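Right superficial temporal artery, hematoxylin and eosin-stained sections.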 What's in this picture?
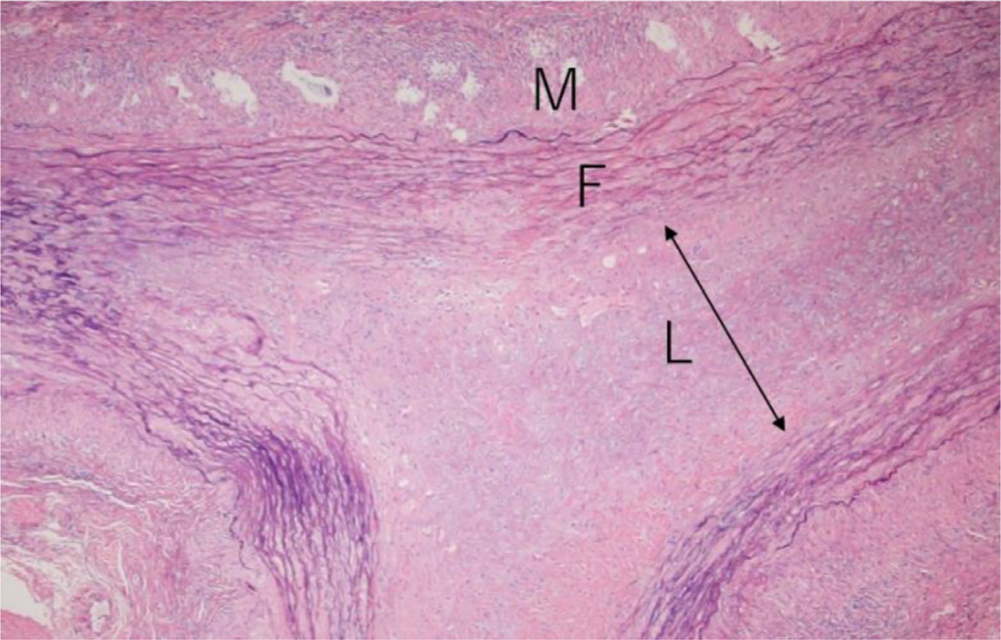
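An arterial wall is seen at low power: along the top lies a band of muscular layer with small open spaces, beneath it runs a zone of wavy, dark purple and pink fibres, and below that a broad mass of pale pink tissue dotted with bluish nuclei fills much of the field. The thickened, fibrous and cell-infiltrated wall crowds in on the vessel's interior, so that the lumen is left narrowed, as in giant cell arteritis with fibrosis reaching up to the muscular layer.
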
